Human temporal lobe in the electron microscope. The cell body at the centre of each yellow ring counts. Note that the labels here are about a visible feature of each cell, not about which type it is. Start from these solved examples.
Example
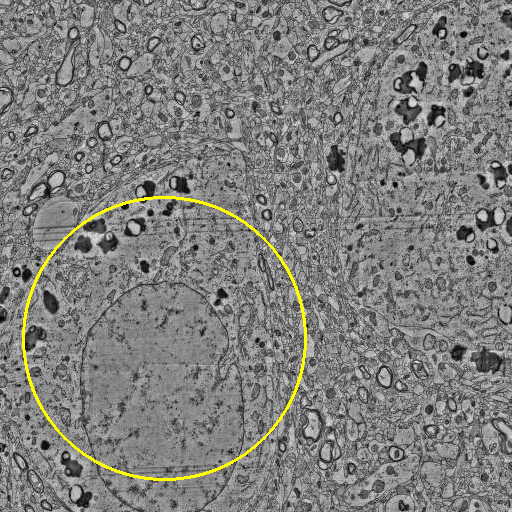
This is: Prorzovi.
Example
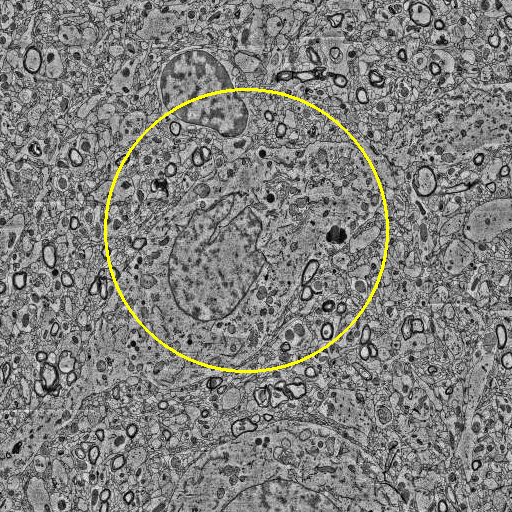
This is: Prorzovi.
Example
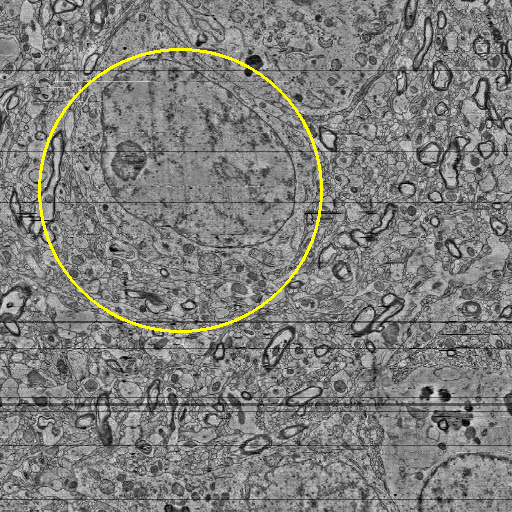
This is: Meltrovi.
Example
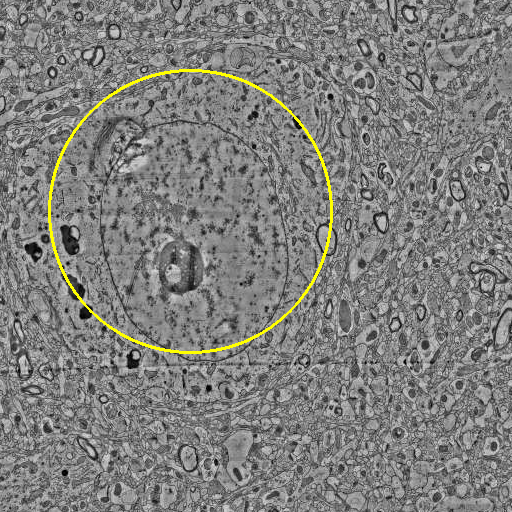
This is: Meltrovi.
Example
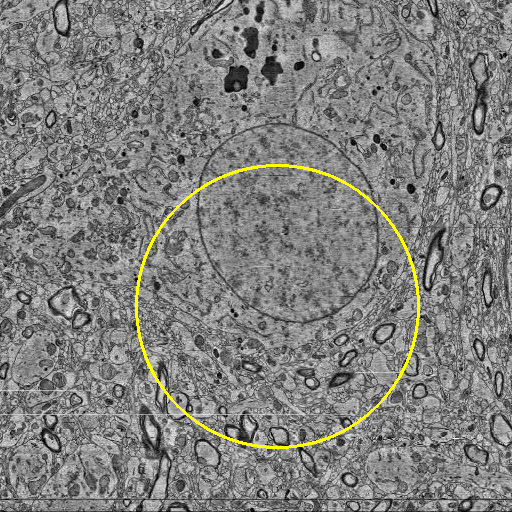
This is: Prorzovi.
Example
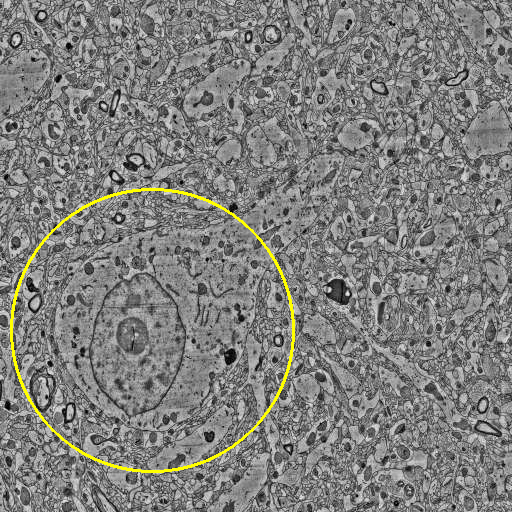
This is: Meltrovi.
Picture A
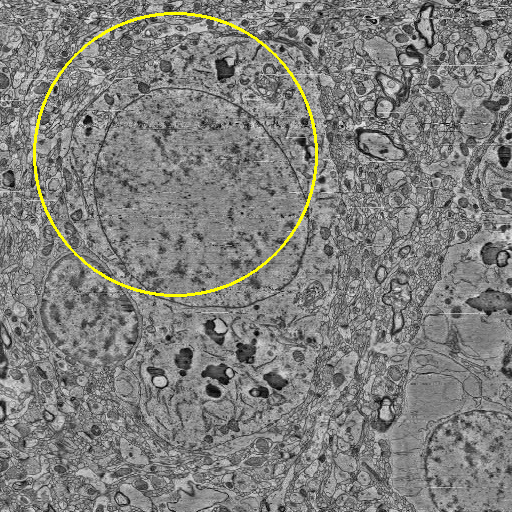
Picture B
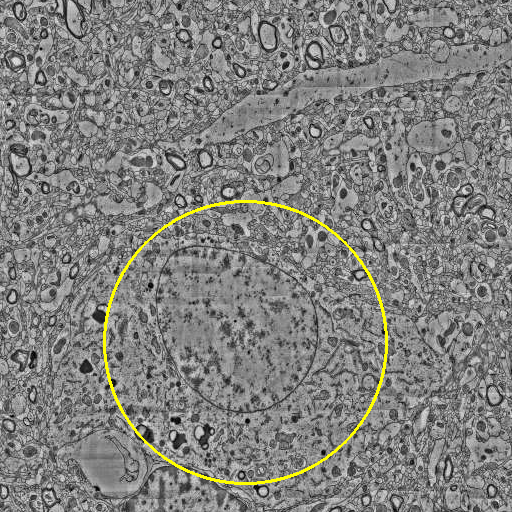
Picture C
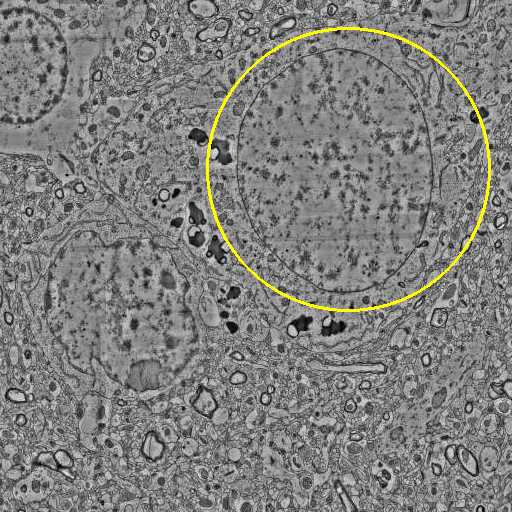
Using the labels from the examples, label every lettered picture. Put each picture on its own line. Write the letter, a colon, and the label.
A: Prorzovi.
B: Prorzovi.
C: Prorzovi.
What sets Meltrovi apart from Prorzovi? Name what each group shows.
Seen in Meltrovi: nucleolus seen; seen in Prorzovi: no nucleolus seen.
